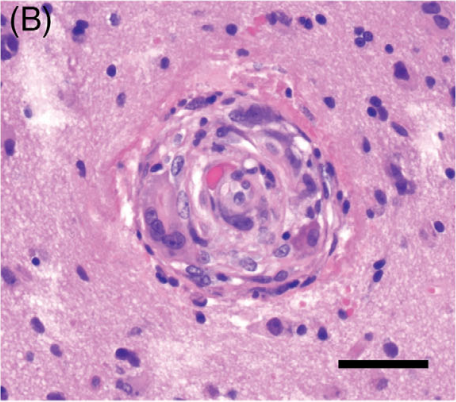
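A small blood vessel in brain tissue is cuffed by a dense inflammatory infiltrate. Crowded cells with oval and round nuclei are arranged in concentric layers around the narrow lumen, which contains a red blood cell. Some cells are large with abundant pale pink cytoplasm and several nuclei. The cuff is bordered by a thin rim of pink fibrillary material. The surrounding brain tissue is pale pink and finely fibrillary, with scattered small dark nuclei of glial cells distributed through it.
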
